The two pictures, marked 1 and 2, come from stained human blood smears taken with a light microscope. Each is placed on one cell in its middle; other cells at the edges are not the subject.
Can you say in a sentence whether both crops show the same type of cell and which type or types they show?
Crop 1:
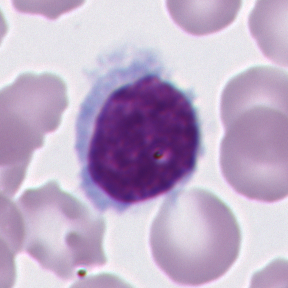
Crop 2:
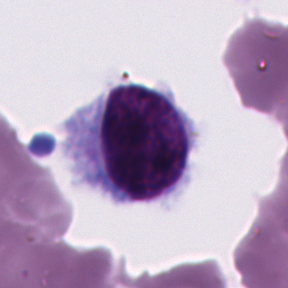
Yes, the middle cells in both crops are indeed hairy cells.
